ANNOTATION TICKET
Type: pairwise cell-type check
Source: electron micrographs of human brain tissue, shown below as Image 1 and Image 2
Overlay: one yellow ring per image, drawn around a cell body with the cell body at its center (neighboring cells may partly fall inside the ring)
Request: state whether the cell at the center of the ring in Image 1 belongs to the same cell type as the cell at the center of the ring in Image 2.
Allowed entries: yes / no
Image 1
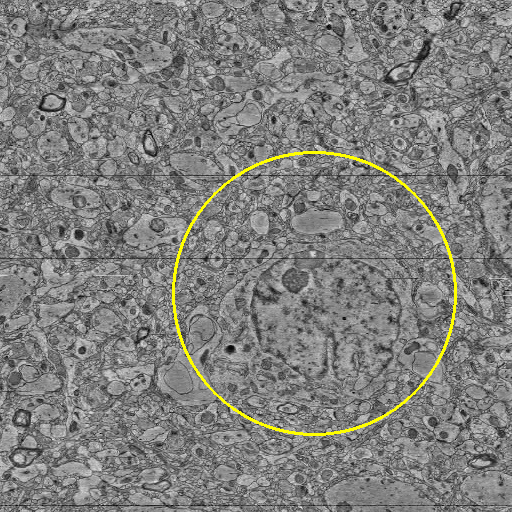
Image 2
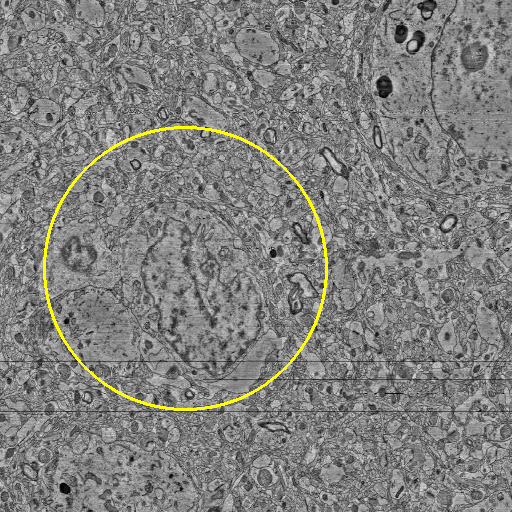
yes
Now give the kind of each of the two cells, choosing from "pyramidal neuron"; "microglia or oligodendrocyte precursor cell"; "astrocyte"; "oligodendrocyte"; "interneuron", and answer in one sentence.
In both pictures the ring is centred on an interneuron.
